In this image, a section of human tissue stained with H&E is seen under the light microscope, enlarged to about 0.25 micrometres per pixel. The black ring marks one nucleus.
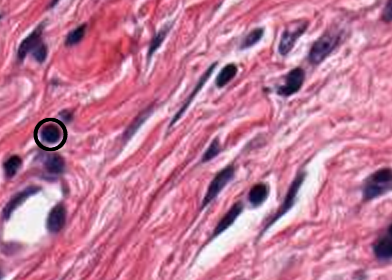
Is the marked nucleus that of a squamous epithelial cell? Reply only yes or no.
no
